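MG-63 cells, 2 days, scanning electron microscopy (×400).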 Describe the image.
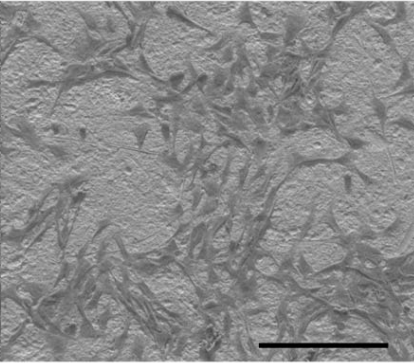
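Here we look down on osteoblast-like cells spread over a smooth, finely textured surface. The cells appear darker grey than the paler background, flattened tightly against the substrate. Most are spindle-shaped or triangular, with a central body that tapers into two or three slender processes. They lie in many directions, and towards the middle and right of the field they crowd together, their processes overlapping and touching neighbours to form a loose network, while elsewhere they sit more sparsely. No rounded, detached cells stand out; the cells seem well attached and spread.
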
